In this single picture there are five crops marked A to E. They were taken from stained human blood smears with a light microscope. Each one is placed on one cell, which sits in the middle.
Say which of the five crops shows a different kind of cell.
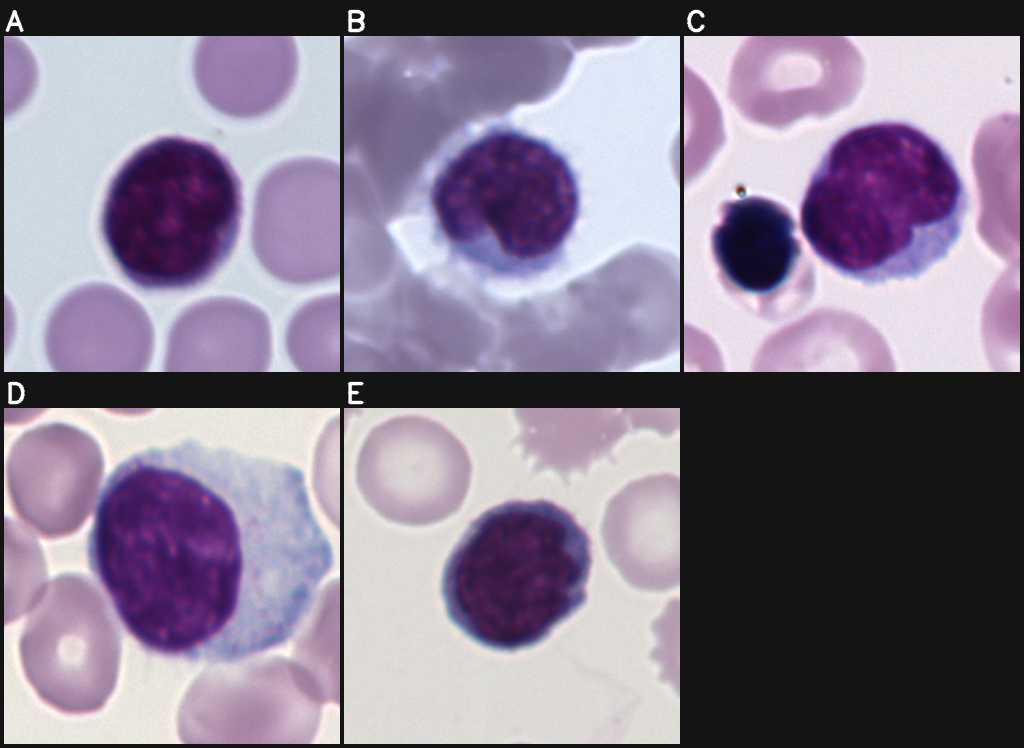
B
